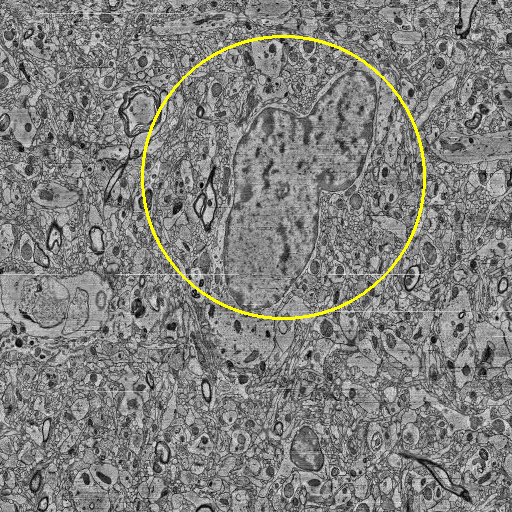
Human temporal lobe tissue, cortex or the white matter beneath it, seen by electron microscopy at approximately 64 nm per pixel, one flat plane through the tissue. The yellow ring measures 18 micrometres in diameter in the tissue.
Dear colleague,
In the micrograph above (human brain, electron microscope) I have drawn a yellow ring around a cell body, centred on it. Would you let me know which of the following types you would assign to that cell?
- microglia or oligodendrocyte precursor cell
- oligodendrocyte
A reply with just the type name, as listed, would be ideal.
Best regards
microglia or oligodendrocyte precursor cell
